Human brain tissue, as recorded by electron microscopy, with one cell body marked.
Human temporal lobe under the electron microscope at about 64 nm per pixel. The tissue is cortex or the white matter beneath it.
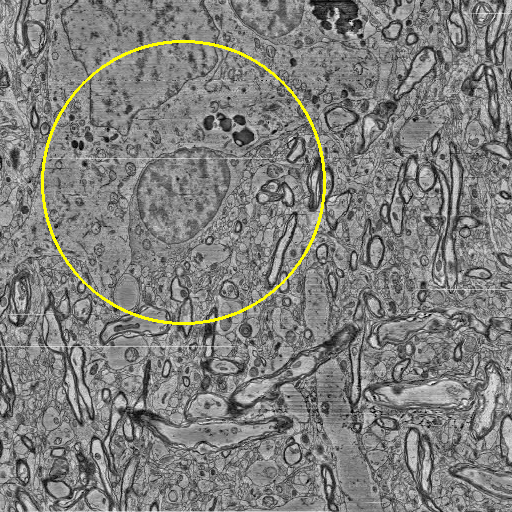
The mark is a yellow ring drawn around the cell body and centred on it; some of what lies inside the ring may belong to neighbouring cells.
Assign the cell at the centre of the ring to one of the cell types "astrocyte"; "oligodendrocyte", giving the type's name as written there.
oligodendrocyte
